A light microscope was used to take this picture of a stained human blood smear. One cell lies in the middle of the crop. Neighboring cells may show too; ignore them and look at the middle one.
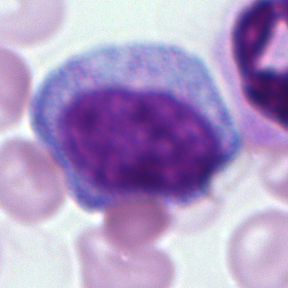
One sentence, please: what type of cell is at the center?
The cell occupying the middle of the crop is a promyelocyte.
